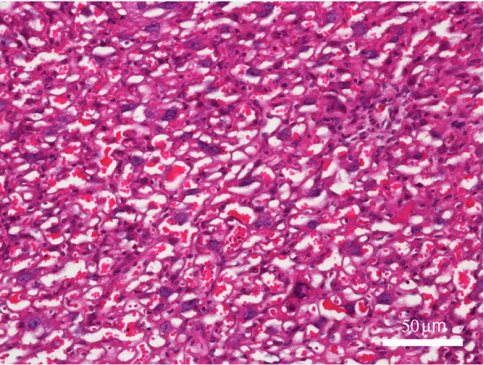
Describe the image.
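Placental labyrinth in which thin, interlacing cords of cells with purple nuclei and pink cytoplasm separate numerous small, open vascular spaces. Many of these spaces contain red blood cells, giving a loose, maze-like pattern across the field.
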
